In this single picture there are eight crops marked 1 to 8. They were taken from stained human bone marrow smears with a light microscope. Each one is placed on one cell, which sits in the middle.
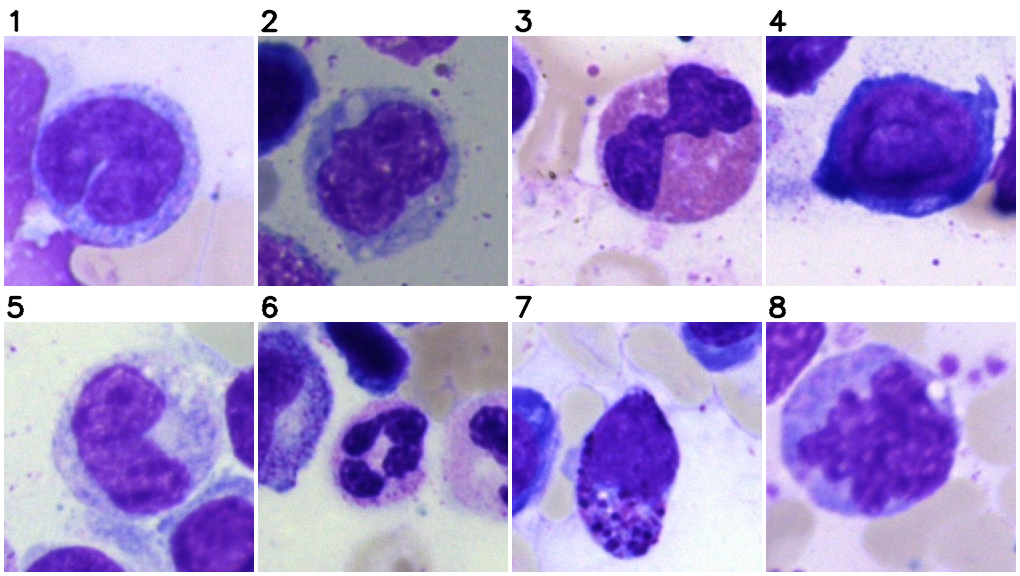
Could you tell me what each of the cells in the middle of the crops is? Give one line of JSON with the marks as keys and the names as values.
{"1": "monocyte", "2": "monocyte", "3": "eosinophil", "4": "proerythroblast", "5": "monocyte", "6": "neutrophil", "7": "basophil", "8": "monocyte"}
